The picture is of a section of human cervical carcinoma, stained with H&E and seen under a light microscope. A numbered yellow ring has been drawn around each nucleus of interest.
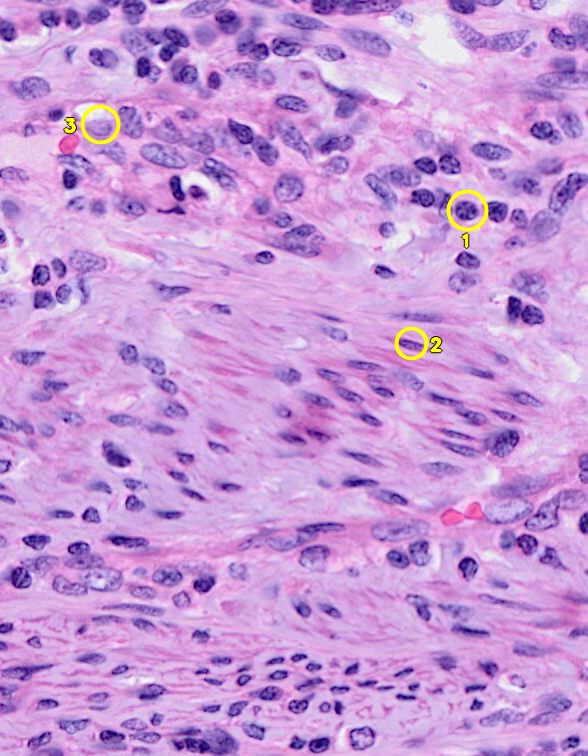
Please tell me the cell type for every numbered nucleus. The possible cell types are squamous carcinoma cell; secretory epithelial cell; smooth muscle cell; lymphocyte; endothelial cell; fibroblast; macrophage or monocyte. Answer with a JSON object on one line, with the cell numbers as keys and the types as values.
{"1": "lymphocyte", "2": "smooth muscle cell", "3": "endothelial cell"}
